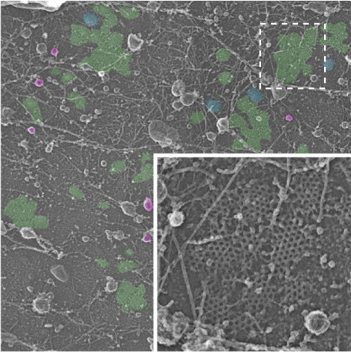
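This is a replica of the inner face of the plasma membrane, showing many flat clathrin-coated structures shaded green, several dome-shaped ones shaded blue and a few spherical ones shaded magenta. The green flat structures form irregular patches, some small and some large and branching, scattered across the membrane. Thin filaments cross the membrane surface in various directions between the coated structures. The magnified inset shows one large flat lattice in native grayscale as a honeycomb of small polygonal openings lying flat on the membrane. Rounded budding profiles stand out at the edges of some patches.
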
